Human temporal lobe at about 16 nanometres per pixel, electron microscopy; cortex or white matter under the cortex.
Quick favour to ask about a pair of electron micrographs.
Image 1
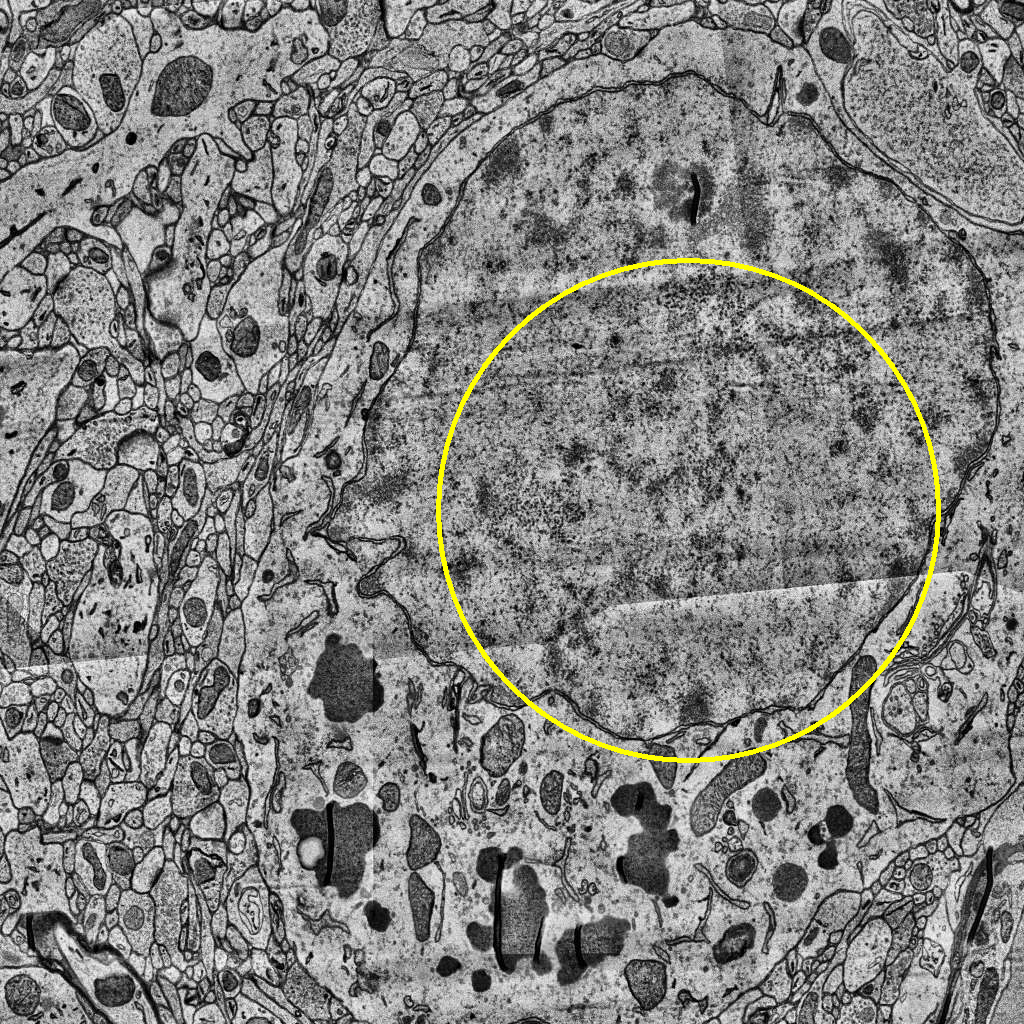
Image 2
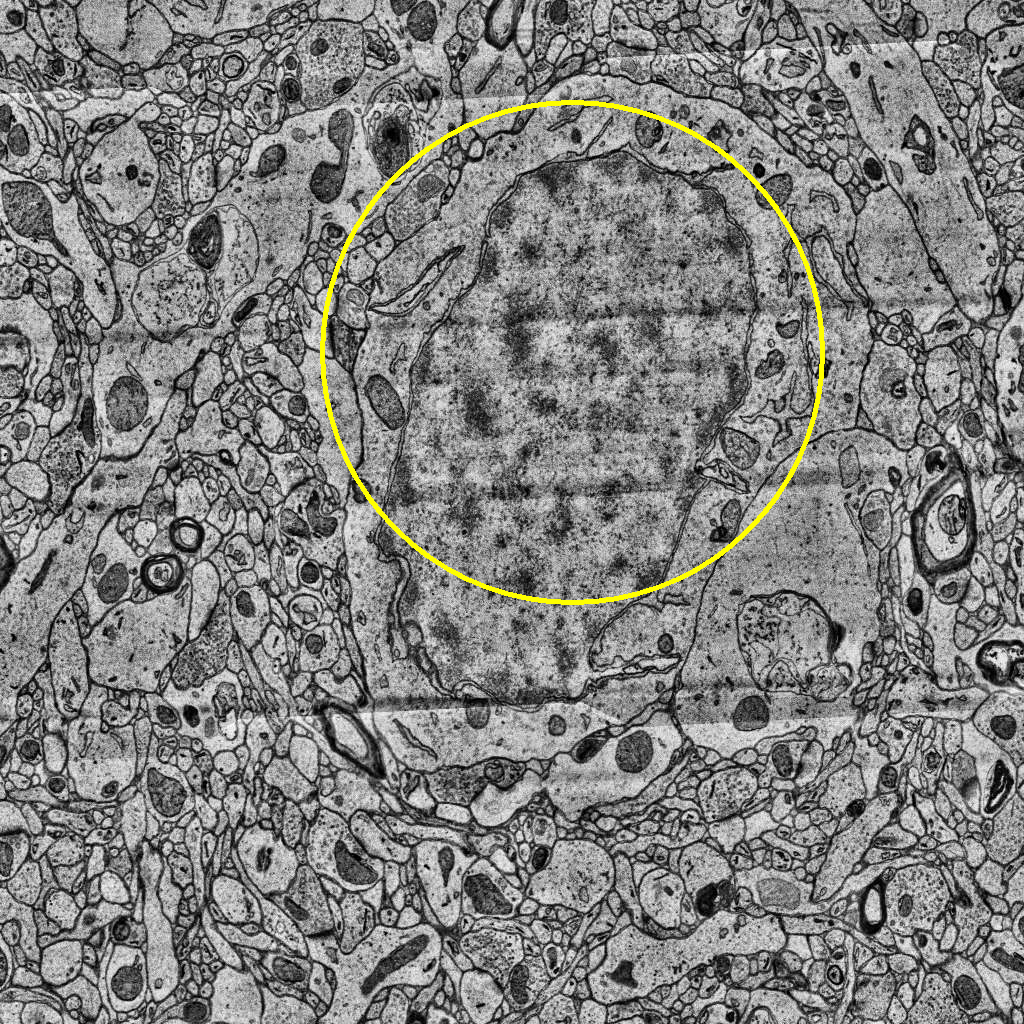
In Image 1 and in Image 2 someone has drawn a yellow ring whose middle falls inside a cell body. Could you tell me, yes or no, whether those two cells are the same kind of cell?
yes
